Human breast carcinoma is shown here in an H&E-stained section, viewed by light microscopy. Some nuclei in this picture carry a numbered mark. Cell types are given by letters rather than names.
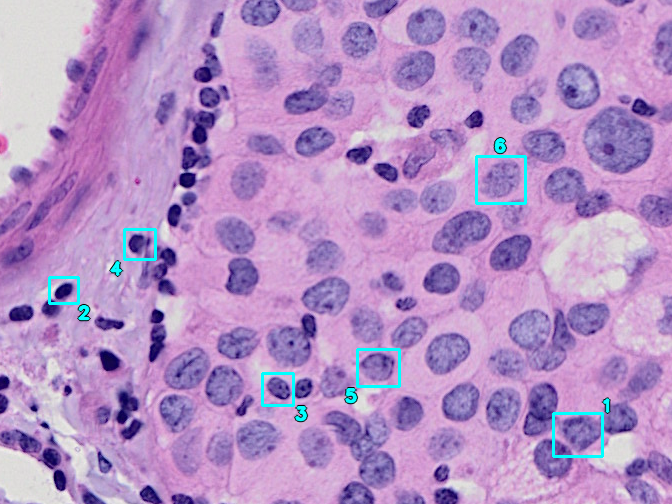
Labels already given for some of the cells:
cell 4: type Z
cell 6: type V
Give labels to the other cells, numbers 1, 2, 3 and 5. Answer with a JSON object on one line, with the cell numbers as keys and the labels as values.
{"1": "type V", "2": "type Z", "3": "type Z", "5": "type V"}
